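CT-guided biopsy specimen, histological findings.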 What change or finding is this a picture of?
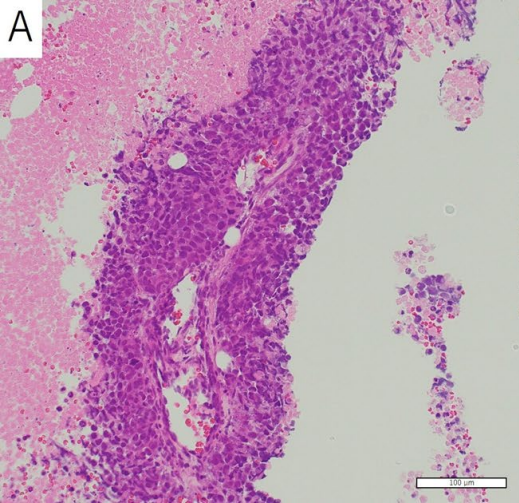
High nucleus to cytoplasm ratio.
